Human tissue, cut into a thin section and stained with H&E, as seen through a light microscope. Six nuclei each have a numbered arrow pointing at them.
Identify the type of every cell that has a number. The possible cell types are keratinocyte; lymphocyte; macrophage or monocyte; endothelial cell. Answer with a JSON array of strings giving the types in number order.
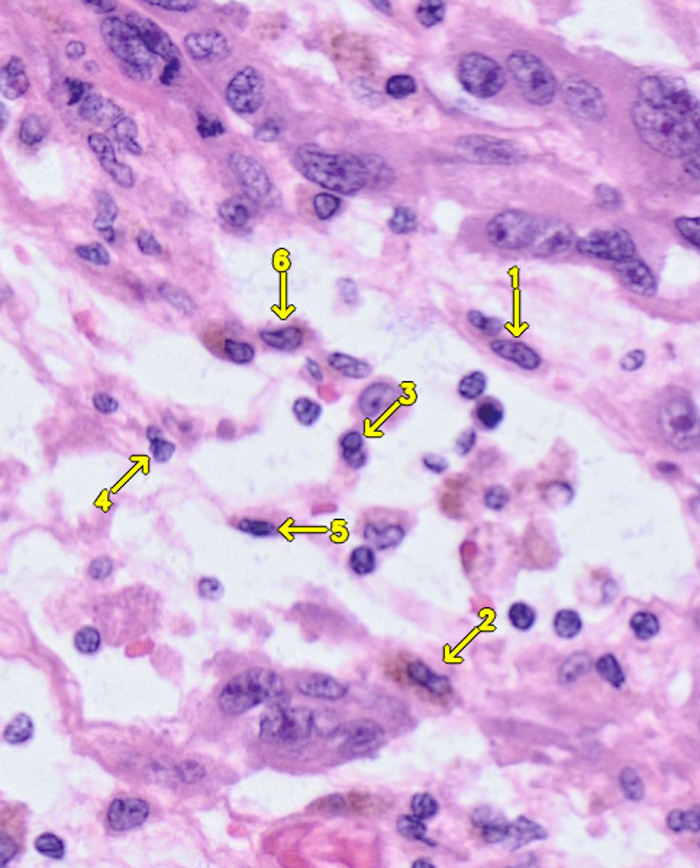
["macrophage or monocyte", "macrophage or monocyte", "macrophage or monocyte", "lymphocyte", "lymphocyte", "macrophage or monocyte"]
